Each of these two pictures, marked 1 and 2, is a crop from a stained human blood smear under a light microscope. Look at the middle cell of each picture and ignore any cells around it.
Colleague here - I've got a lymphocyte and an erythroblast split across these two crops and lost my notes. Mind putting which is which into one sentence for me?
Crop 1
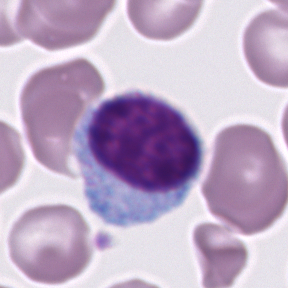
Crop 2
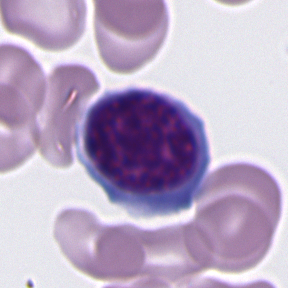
Crop 1 presents a lymphocyte, and crop 2 presents an erythroblast.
